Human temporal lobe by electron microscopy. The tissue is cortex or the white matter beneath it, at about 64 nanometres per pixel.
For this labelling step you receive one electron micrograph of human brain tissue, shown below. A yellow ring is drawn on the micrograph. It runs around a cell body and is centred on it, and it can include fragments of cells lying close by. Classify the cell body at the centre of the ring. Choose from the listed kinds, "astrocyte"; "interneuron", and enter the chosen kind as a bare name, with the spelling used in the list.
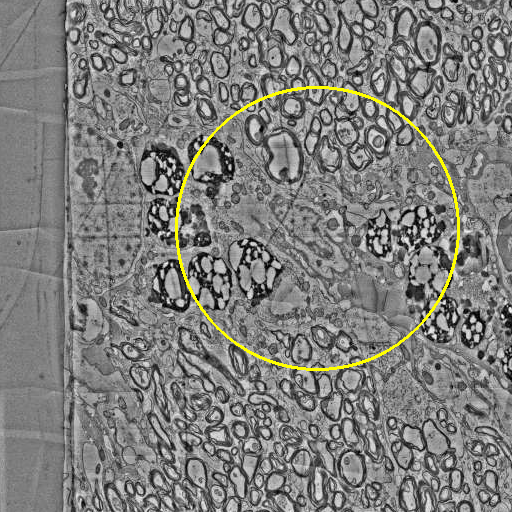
astrocyte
